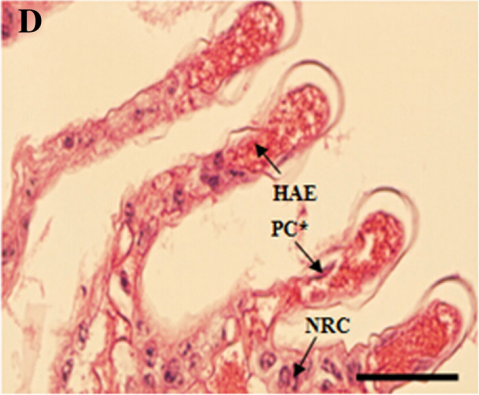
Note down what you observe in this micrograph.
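Gill lamellae in longitudinal section, each bounded by a thin clear cuticle and ending in a swollen rounded tip packed with red granular haemocytes. The stalks are lined by cells with purple nuclei, and the cells spanning the lamellae look disrupted and irregular. Near the base, cells appear shrunken and disorganised.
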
